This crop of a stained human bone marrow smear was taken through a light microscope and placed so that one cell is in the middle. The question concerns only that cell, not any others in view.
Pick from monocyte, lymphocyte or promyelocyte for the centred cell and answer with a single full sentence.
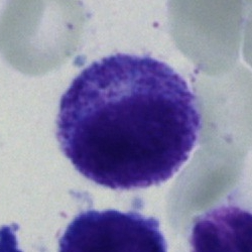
Occupying the centre of the crop is a promyelocyte.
